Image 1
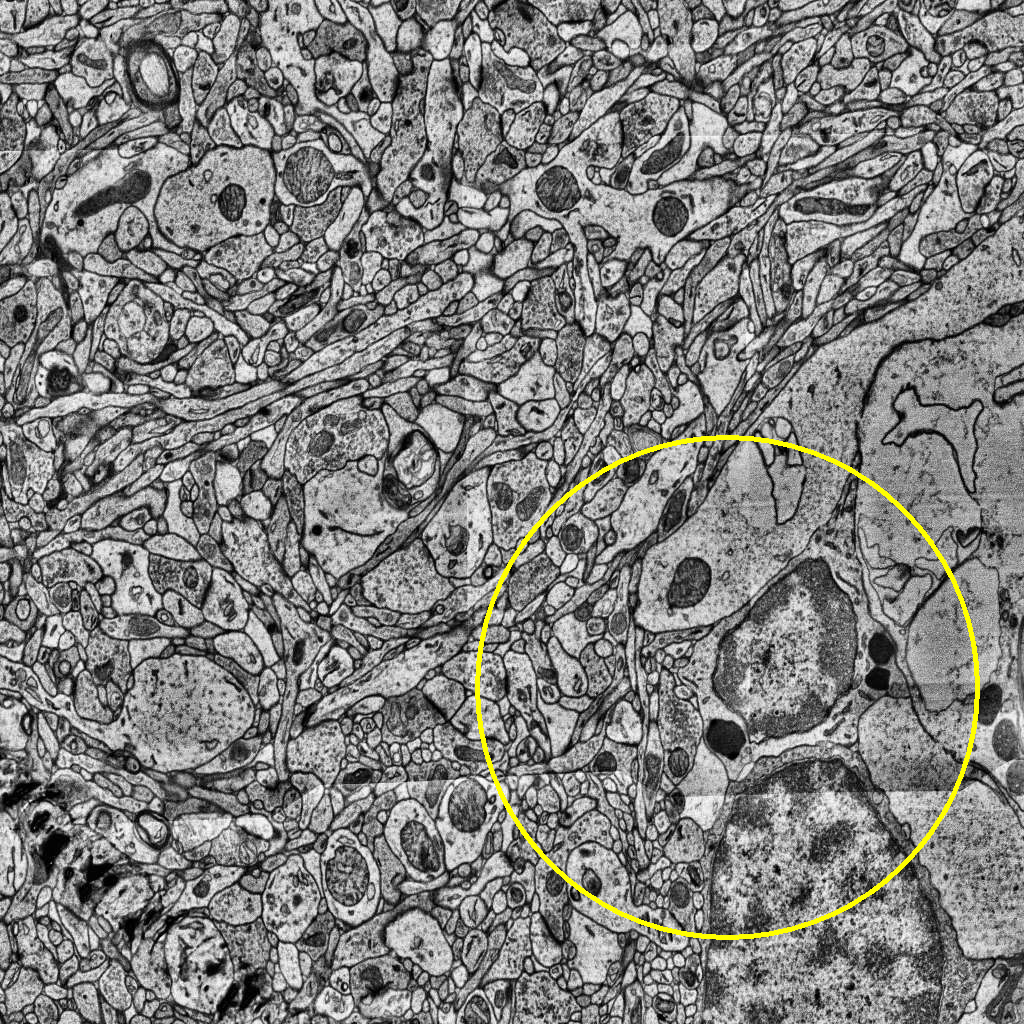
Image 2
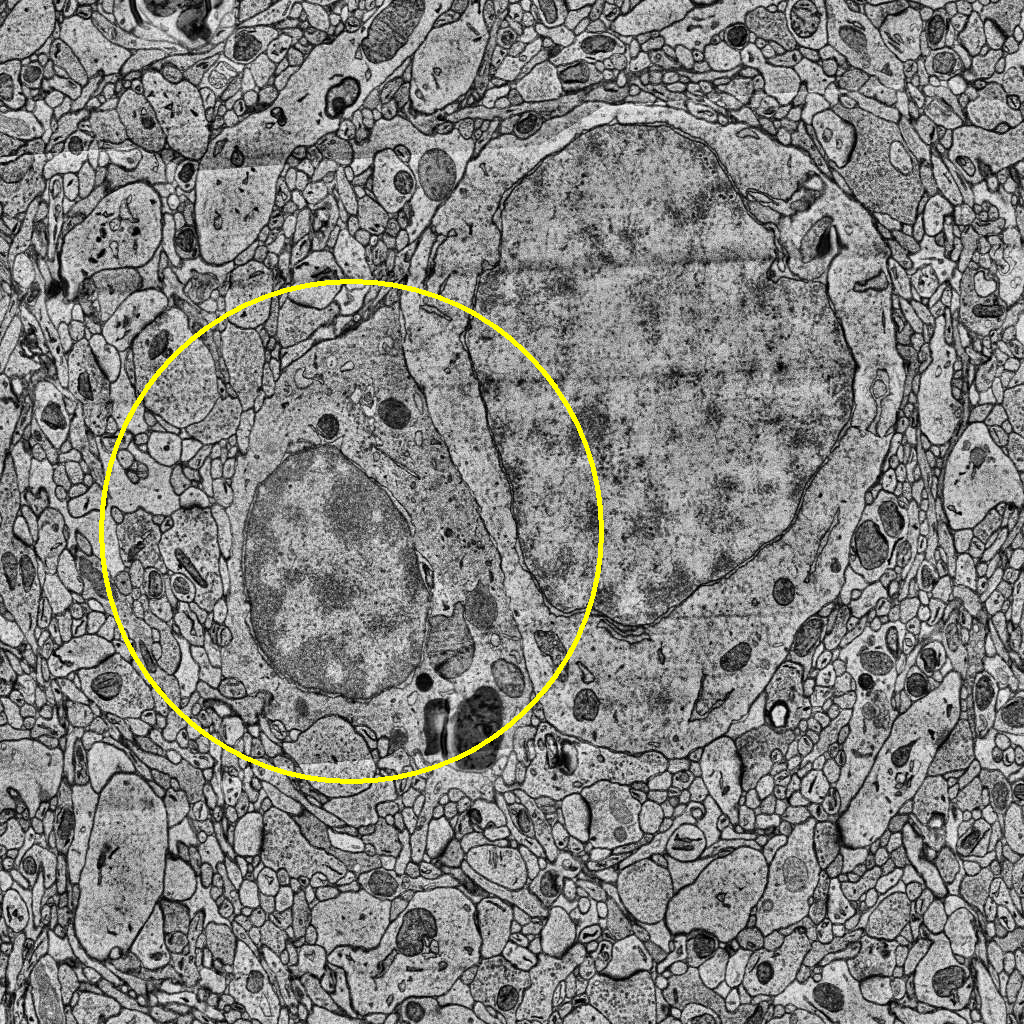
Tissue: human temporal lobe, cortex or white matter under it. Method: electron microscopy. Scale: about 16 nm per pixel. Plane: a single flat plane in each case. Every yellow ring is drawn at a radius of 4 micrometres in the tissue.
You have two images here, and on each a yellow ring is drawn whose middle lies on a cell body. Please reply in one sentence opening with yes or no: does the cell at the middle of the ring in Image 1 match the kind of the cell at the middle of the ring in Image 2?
No, the two images show cells of two kinds at the centres of their rings.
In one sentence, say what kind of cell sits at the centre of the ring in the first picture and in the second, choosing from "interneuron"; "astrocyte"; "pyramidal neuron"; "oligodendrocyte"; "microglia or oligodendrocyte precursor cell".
The first picture has a microglial cell or oligodendrocyte precursor cell at its ring centre, and the second has an oligodendrocyte.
